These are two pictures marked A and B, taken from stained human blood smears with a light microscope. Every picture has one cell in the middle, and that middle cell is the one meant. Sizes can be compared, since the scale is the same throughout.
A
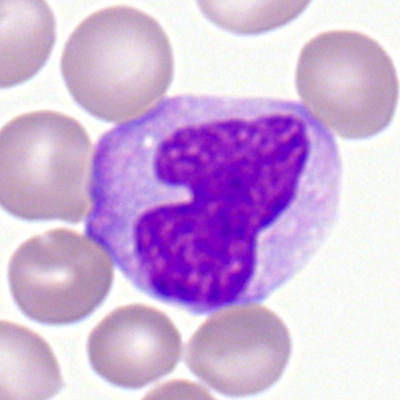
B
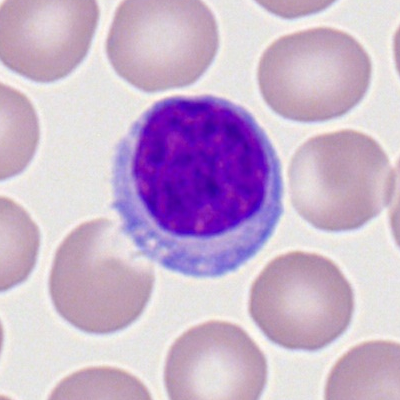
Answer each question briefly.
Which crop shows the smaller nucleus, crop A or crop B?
B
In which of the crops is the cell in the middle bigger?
A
